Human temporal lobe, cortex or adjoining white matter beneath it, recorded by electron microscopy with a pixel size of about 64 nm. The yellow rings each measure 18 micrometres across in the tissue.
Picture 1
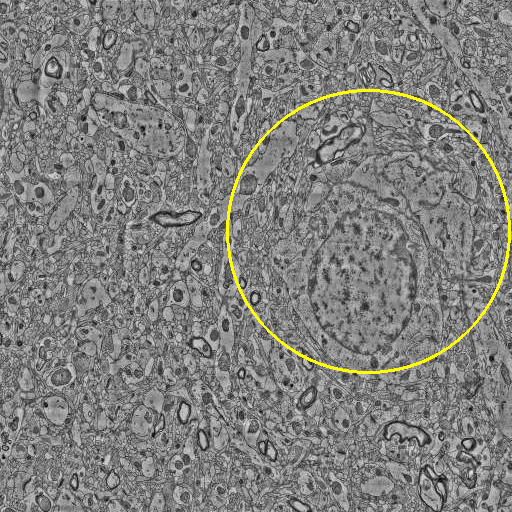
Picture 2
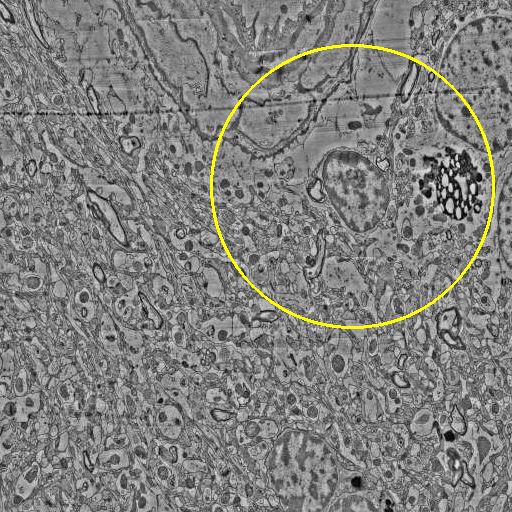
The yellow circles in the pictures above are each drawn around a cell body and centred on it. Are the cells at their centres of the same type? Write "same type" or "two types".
two types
